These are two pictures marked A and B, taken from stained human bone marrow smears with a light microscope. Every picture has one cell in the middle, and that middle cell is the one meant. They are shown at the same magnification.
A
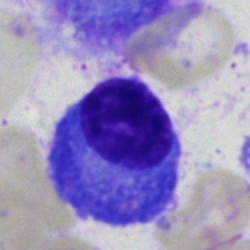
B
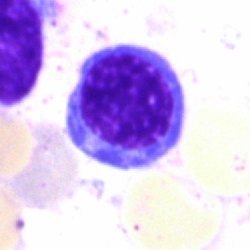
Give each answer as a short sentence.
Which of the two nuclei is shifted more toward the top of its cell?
In picture A the nucleus is shifted more toward the top.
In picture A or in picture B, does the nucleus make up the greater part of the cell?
It is the cell in picture B that is filled more by its nucleus.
